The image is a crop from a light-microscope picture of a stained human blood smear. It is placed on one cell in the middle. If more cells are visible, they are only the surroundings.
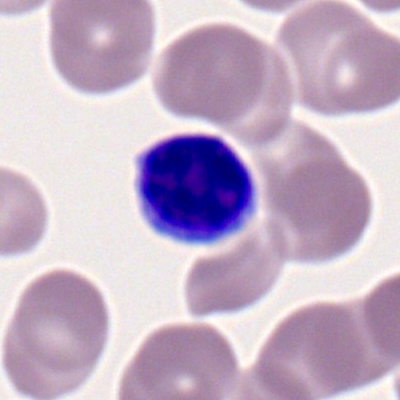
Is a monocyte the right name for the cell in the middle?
no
